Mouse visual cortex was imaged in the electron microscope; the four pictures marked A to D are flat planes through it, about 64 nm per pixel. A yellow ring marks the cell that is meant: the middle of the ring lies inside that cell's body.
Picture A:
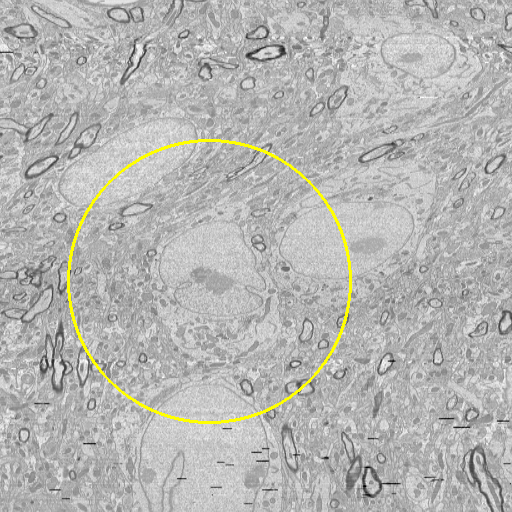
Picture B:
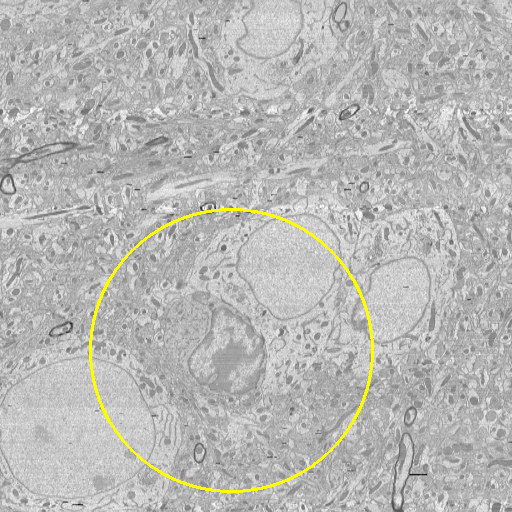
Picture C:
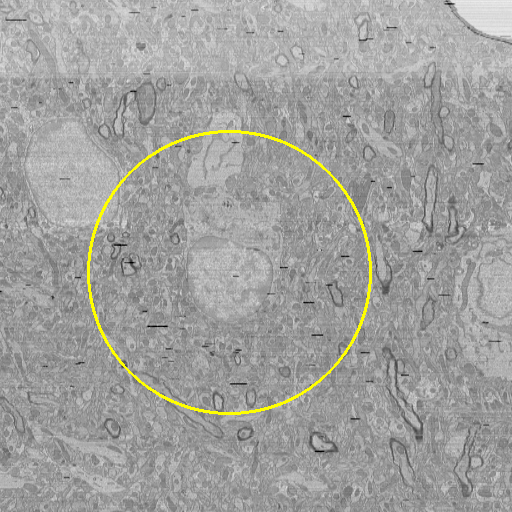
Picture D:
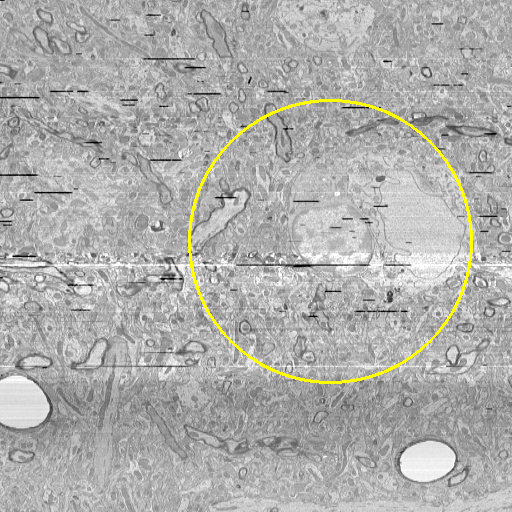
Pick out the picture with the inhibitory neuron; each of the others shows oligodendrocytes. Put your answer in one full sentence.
It is picture A that shows the inhibitory neuron.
